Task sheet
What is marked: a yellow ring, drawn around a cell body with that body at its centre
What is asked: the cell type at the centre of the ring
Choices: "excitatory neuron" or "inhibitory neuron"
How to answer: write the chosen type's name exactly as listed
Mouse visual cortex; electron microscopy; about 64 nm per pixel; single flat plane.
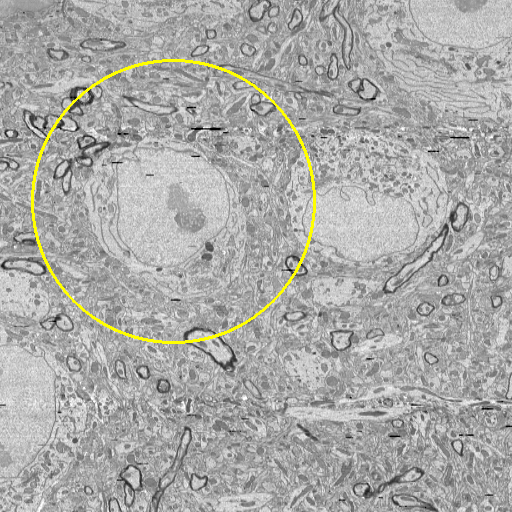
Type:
inhibitory neuron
